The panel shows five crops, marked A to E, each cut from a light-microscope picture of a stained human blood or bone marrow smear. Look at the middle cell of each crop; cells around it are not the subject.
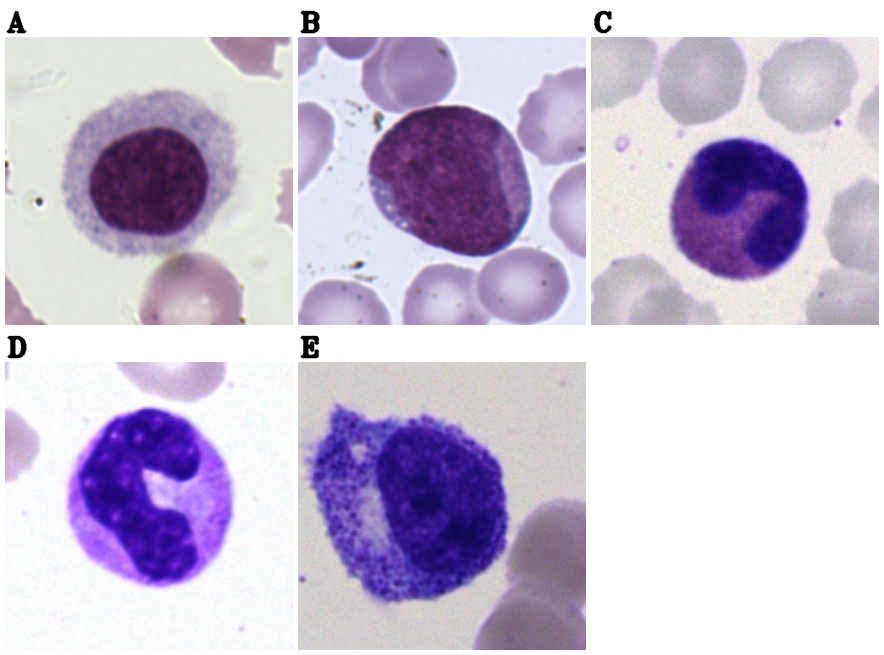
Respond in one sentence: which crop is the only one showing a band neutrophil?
The crop that has a band neutrophil in the middle is crop D.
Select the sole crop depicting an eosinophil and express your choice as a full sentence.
Crop C is the one to choose: it shows an eosinophil.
